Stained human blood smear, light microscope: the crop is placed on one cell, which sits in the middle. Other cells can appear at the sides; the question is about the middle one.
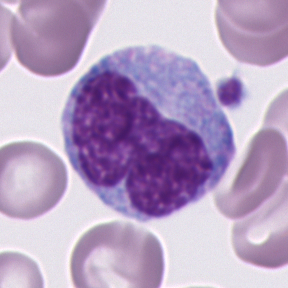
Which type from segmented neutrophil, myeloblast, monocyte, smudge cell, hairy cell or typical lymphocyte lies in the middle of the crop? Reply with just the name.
monocyte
